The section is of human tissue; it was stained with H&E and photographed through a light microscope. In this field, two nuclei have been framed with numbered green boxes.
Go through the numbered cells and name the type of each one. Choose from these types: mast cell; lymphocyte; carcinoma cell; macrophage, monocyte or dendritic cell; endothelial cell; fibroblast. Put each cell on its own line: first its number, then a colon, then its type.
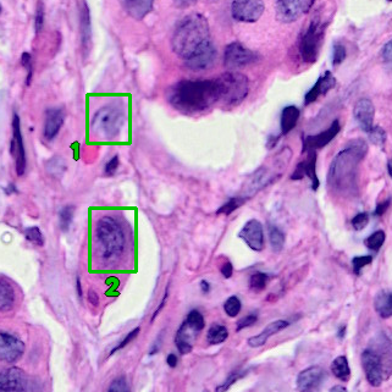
1: endothelial cell
2: carcinoma cell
